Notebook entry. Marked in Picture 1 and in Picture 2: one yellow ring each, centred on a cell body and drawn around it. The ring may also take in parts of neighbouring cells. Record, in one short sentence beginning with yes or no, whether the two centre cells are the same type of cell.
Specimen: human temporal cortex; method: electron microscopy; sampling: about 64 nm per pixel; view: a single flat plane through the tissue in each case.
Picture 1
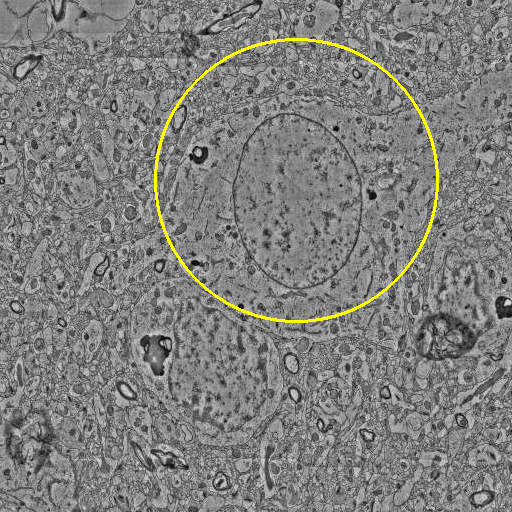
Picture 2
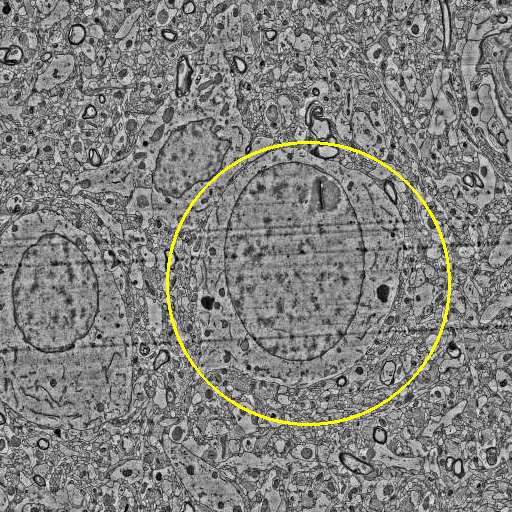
Yes, both are the same type of cell.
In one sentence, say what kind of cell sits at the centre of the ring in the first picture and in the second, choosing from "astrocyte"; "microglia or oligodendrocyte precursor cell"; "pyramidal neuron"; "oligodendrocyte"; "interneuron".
Both rings mark a pyramidal neuron, one in each picture.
